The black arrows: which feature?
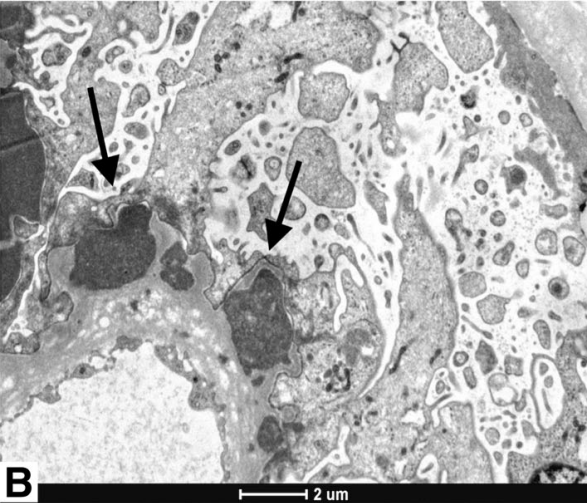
Sub-epithelial electron dense deposits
